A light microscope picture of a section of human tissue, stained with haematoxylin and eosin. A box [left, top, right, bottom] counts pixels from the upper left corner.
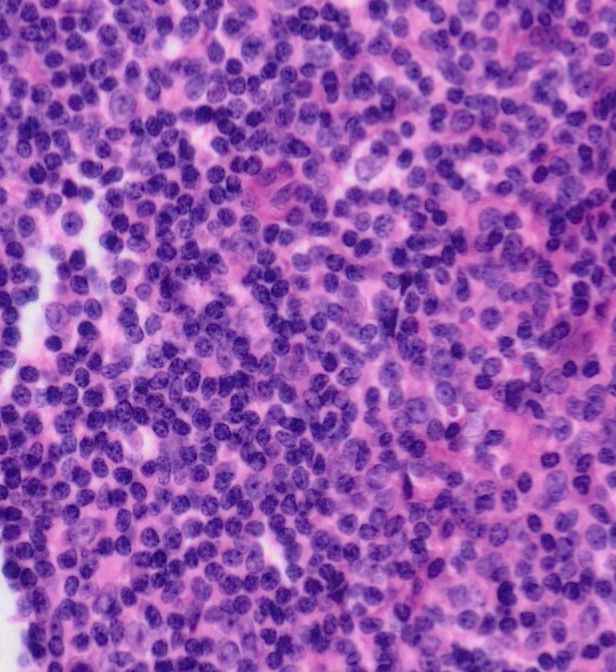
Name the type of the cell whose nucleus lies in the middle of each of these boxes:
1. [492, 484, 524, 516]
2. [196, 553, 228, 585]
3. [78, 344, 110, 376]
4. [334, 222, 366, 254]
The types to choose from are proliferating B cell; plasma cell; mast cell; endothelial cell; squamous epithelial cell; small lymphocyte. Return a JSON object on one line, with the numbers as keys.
{"1": "plasma cell", "2": "small lymphocyte", "3": "small lymphocyte", "4": "small lymphocyte"}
